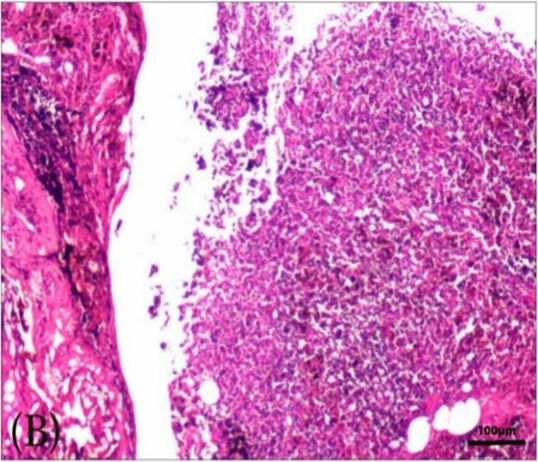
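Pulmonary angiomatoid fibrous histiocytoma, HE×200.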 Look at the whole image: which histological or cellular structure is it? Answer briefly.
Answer: Irregular pseudovascular spaces.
